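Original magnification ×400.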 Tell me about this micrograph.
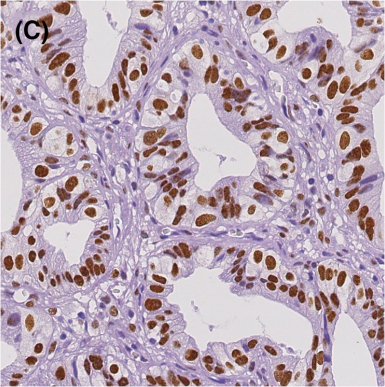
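Gland-like spaces are lined by a single to partly layered row of columnar epithelial cells, with thin bands of stroma between the glands. Most epithelial nuclei are oval to elongated and stained brown, while a minority of nuclei remain blue. The epithelial cytoplasm is pale, and some cells contain clear vacuoles. The stroma between the glands is tinted bluish-purple and holds small spindle-shaped nuclei, some of them brown and others blue. The gland lumina are empty and clear.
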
